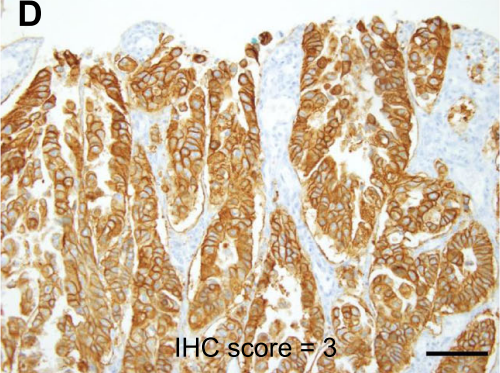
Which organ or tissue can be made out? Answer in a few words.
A: Adenocarcinoma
